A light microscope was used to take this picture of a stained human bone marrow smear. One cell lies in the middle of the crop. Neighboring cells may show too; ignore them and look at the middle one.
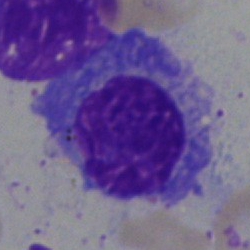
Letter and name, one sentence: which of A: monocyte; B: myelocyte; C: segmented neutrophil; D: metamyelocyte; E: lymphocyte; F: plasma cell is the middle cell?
Option F holds, for the cell in the middle is a plasma cell.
